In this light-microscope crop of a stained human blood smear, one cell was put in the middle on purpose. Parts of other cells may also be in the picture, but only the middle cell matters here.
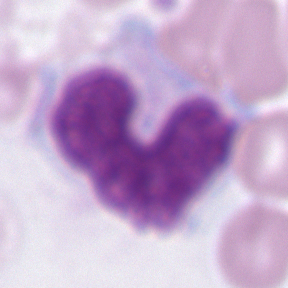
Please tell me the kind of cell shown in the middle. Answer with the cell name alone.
monocyte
